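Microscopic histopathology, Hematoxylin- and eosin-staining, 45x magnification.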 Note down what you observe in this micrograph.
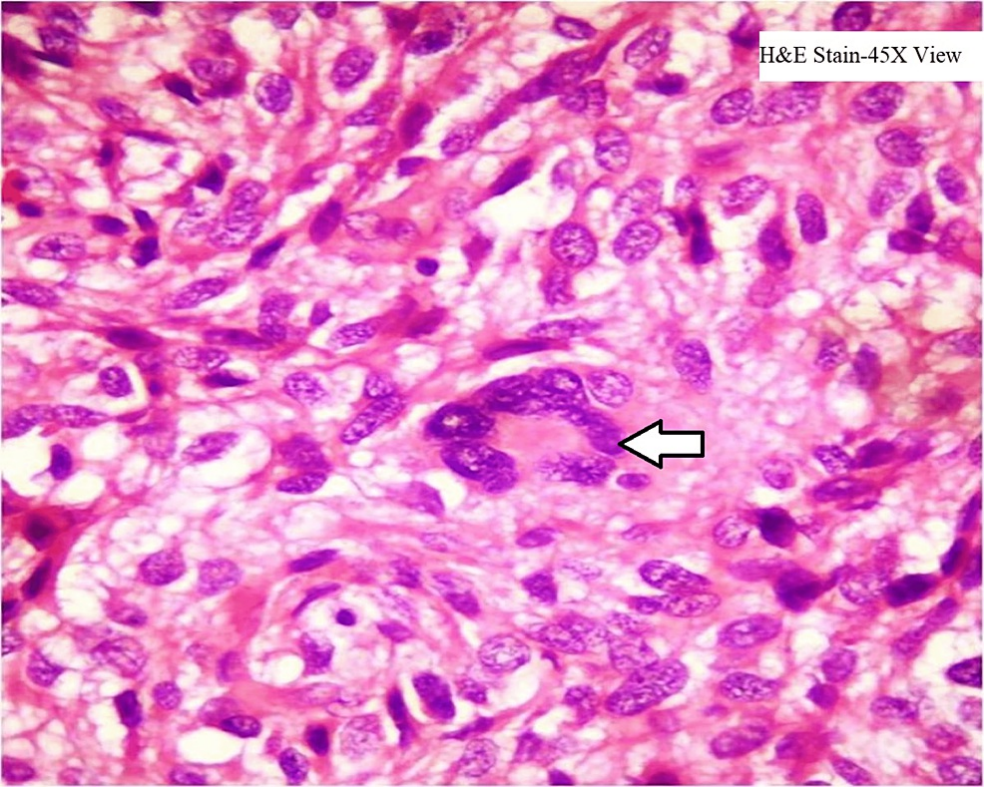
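Densely packed tumor cells with oval to slightly elongated purple nuclei lie in a pink fibrillary background. Most nuclei have finely granular, open chromatin, and some show small nucleoli. The cytoplasm of many cells looks pale and bubbly, with clear vacuoles between the cells. A few nuclei are darker, thinner and spindle-shaped. Near the centre, a large cell holds several nuclei clustered around a pink cytoplasmic core.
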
